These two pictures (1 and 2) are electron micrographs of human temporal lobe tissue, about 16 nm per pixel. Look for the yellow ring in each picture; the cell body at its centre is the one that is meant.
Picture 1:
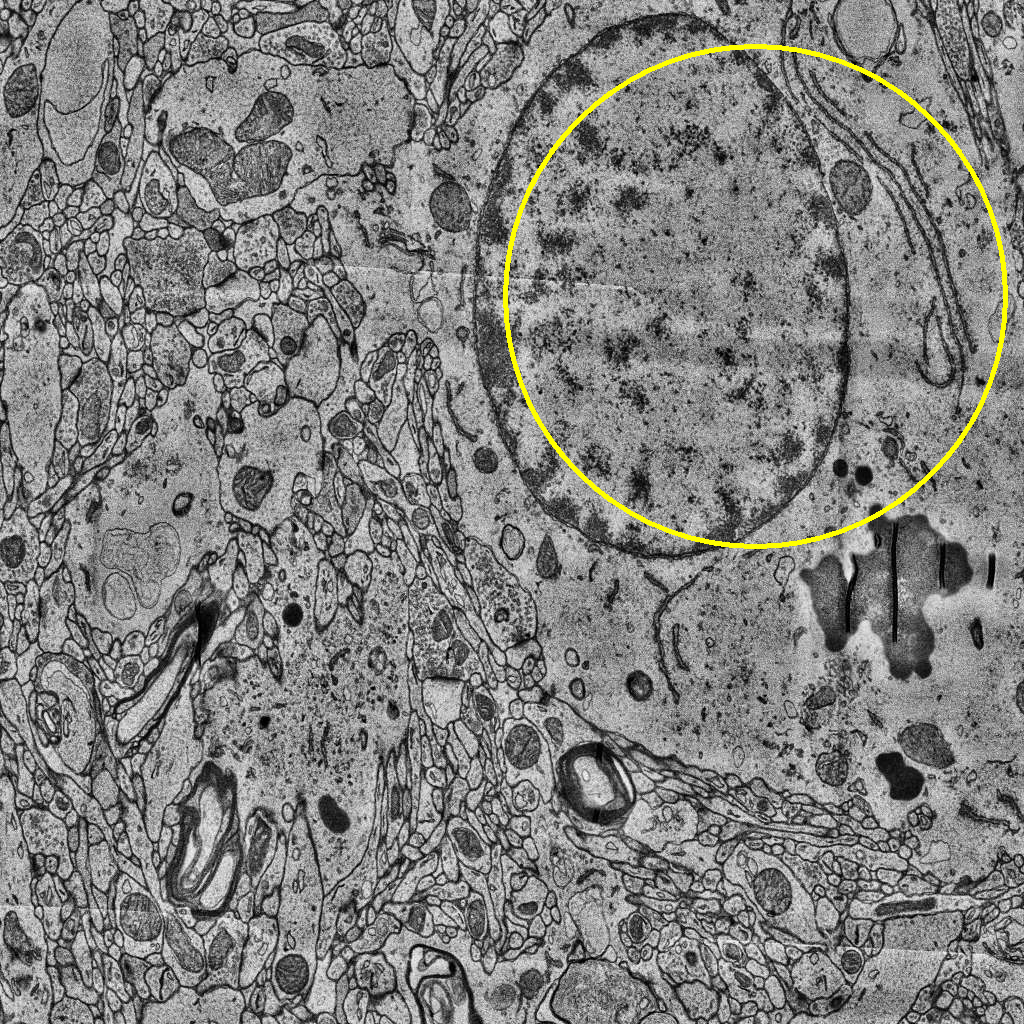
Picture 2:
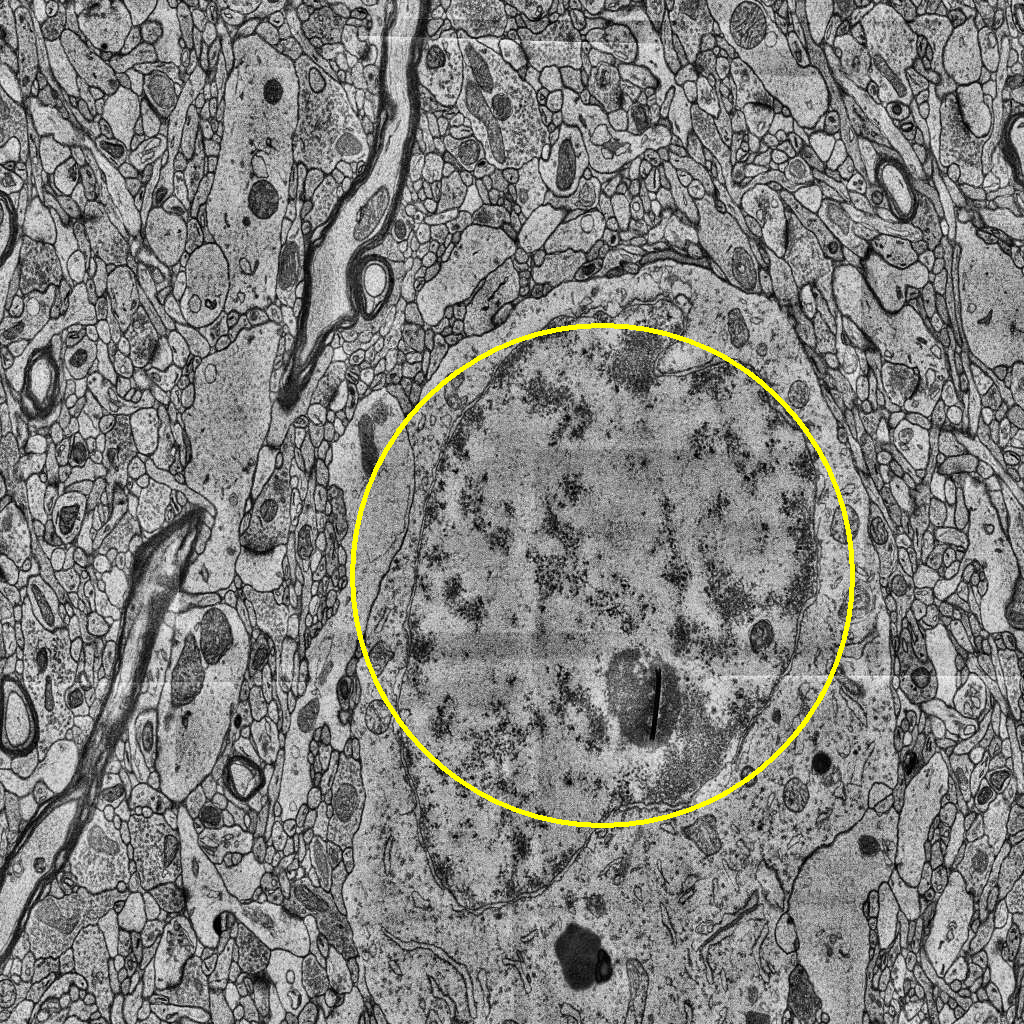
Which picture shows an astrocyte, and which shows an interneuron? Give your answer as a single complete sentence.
It is picture 1 that shows an astrocyte, and picture 2 that shows an interneuron.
